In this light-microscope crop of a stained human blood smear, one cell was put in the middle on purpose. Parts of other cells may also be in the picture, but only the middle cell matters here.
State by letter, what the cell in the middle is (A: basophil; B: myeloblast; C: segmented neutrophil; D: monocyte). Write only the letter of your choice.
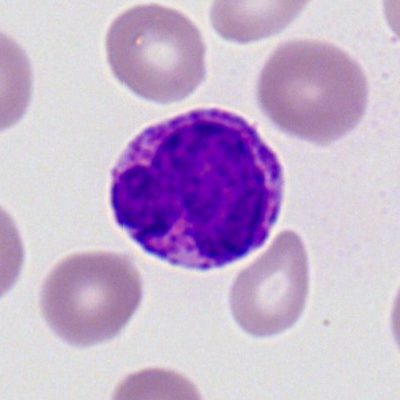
A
